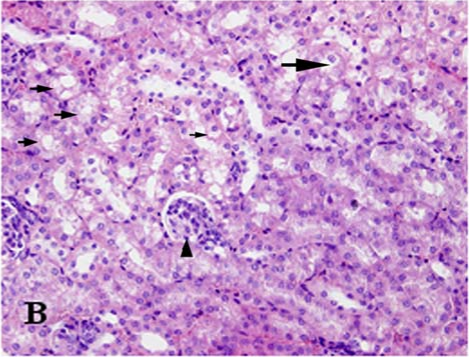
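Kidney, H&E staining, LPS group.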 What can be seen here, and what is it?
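This is renal cortex with tubules and a glomerulus, stained more purple overall. Many tubular epithelial cells have pale, clear, foamy cytoplasm, so the tubular outlines look blurred and swollen. A glomerulus is seen as a rounded tuft of dense nuclei within its capsule, and clusters of dark nuclei appear at the left edge among the tubules.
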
